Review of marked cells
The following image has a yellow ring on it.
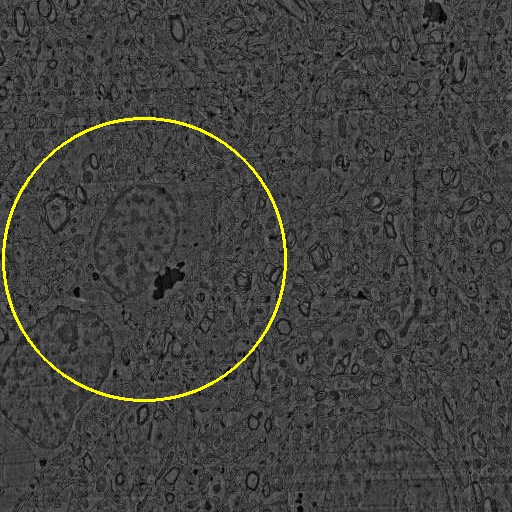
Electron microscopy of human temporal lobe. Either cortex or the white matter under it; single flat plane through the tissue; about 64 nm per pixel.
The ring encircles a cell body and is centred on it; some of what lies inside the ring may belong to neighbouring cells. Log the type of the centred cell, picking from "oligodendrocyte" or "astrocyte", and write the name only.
oligodendrocyte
